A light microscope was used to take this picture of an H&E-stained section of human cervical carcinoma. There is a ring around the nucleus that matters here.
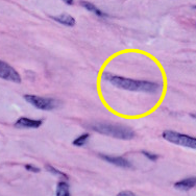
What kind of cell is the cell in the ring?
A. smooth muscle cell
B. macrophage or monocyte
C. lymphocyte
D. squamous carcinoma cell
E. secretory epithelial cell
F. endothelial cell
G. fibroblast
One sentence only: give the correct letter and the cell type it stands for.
The proper choice here is G: the cell in the ring is a fibroblast.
